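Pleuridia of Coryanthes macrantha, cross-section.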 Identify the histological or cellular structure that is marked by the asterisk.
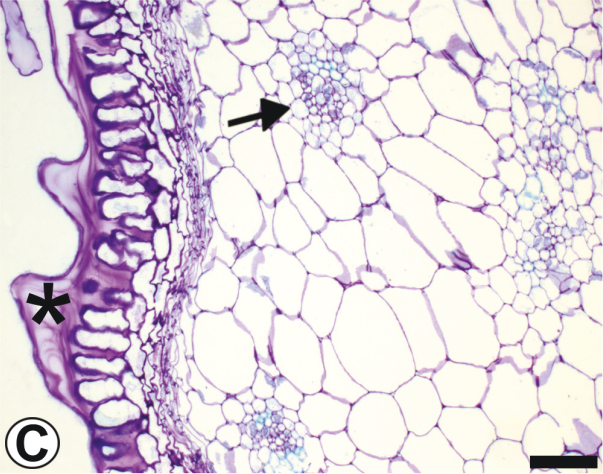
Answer: Mucilaginous content.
